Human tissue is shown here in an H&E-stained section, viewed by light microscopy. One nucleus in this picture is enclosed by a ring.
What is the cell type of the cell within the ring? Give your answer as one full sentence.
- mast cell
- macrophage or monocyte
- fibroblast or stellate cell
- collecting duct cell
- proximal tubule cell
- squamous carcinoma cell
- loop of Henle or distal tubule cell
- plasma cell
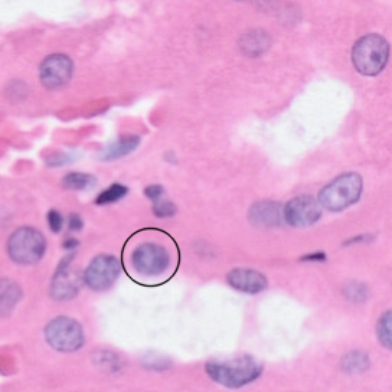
As classified here, the cell within the ring is a loop of Henle or distal tubule cell.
